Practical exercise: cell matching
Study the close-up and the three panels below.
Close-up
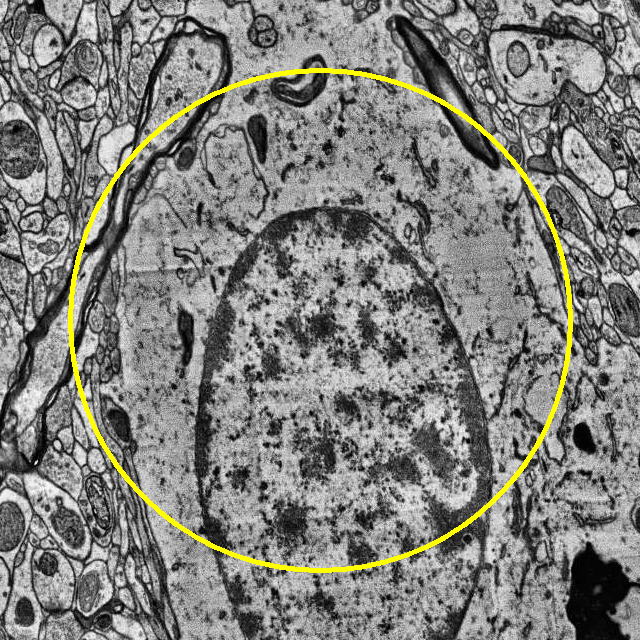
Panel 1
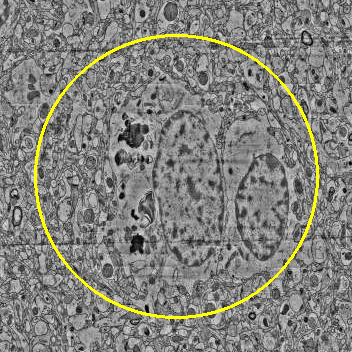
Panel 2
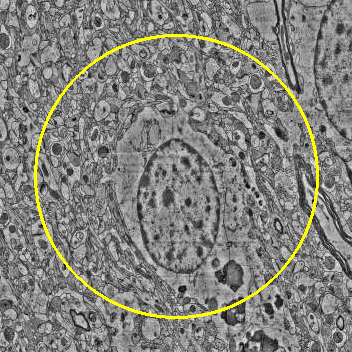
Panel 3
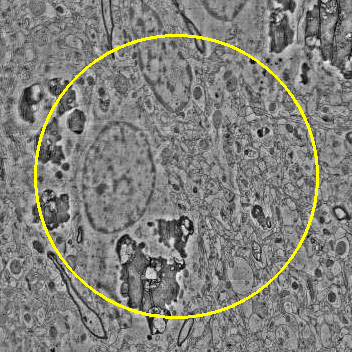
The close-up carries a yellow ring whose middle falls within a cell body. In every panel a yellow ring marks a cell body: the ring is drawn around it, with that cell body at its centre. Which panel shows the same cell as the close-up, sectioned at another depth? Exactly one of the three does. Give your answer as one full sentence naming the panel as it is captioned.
The close-up presents the same cell outlined by the ring in Panel 2.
